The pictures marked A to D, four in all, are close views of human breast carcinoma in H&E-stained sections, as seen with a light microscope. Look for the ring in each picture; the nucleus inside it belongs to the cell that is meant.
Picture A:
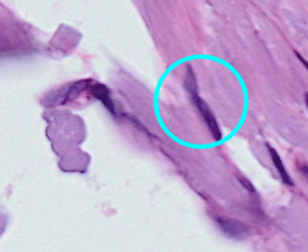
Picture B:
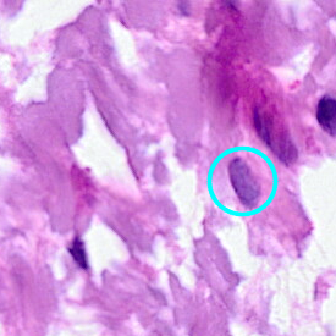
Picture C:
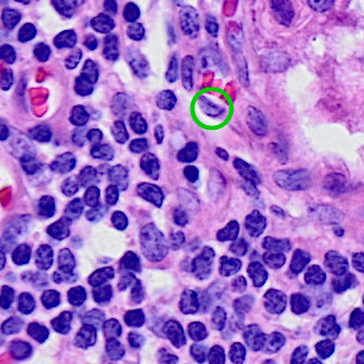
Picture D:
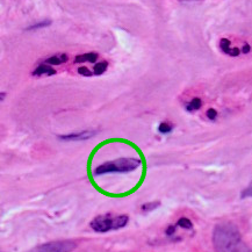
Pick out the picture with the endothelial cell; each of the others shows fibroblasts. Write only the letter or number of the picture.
C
